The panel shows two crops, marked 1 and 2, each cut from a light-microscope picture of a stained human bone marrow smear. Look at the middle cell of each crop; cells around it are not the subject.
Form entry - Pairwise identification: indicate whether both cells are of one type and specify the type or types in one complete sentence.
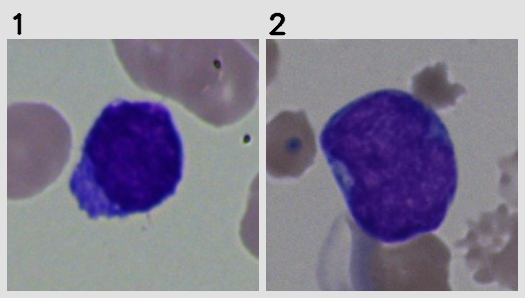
Yes, both crops depict blasts at the centre.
